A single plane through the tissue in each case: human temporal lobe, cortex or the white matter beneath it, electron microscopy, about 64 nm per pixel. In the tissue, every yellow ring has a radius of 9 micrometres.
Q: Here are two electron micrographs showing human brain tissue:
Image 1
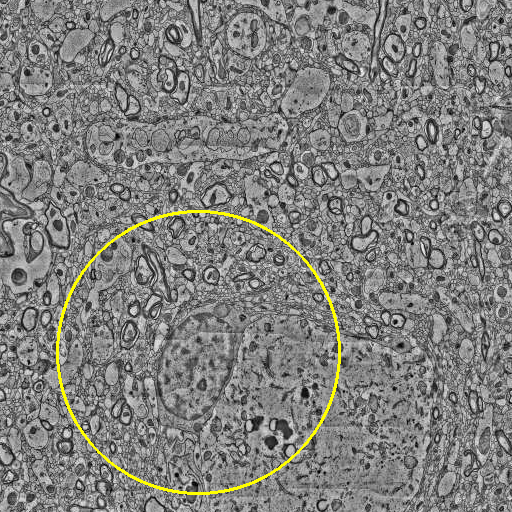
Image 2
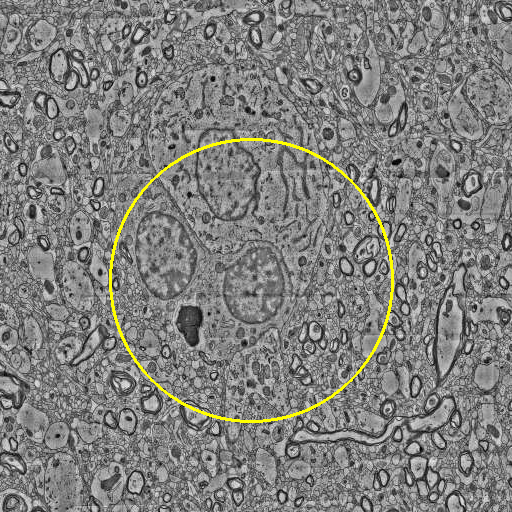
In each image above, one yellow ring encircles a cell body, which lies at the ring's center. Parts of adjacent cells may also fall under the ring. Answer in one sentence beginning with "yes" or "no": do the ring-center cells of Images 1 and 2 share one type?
Yes, in Images 1 and 2, the ring-center cells are both of one type.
